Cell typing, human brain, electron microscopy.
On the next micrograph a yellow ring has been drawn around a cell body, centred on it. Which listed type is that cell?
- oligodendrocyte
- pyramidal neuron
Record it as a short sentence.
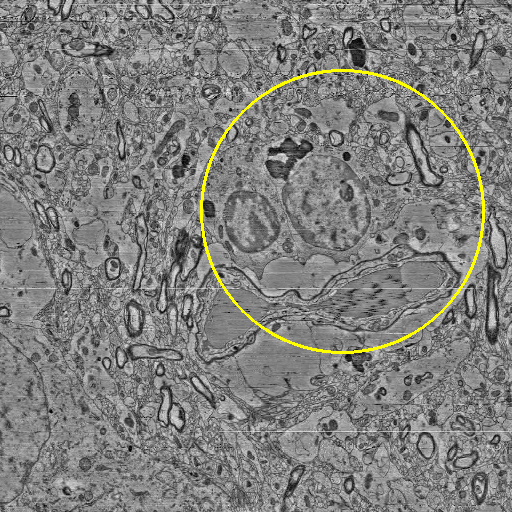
The cell body in the ring's centre belongs to an oligodendrocyte.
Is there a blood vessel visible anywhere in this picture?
Yes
